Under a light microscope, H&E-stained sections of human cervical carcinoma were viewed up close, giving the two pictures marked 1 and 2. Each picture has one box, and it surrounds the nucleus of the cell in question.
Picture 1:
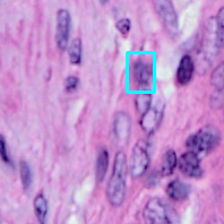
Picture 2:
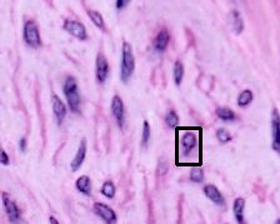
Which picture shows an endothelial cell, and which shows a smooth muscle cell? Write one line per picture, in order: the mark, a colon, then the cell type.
1: endothelial cell
2: smooth muscle cell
